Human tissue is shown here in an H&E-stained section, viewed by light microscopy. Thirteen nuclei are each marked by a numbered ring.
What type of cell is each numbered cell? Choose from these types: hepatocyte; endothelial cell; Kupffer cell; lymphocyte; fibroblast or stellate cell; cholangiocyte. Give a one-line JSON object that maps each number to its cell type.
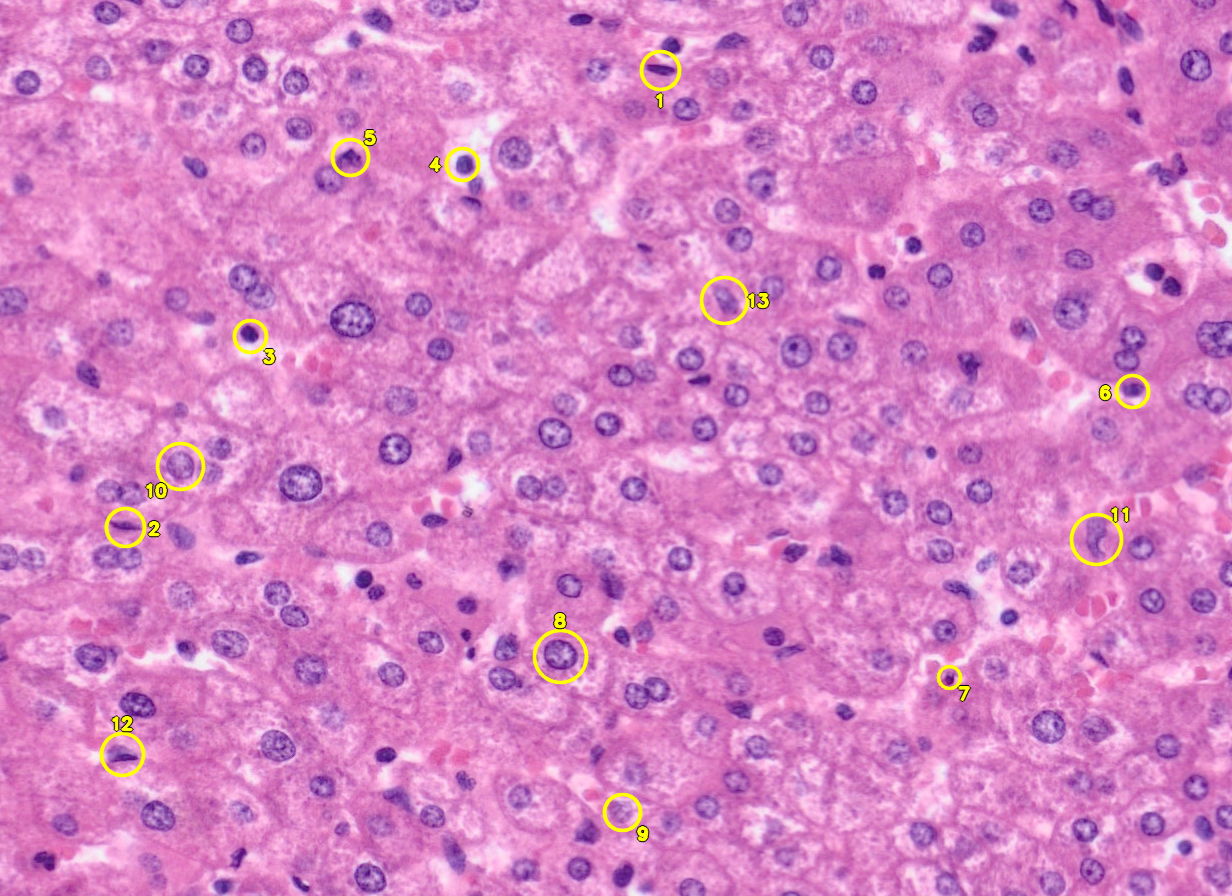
{"1": "fibroblast or stellate cell", "2": "fibroblast or stellate cell", "3": "lymphocyte", "4": "lymphocyte", "5": "endothelial cell", "6": "lymphocyte", "7": "lymphocyte", "8": "hepatocyte", "9": "hepatocyte", "10": "hepatocyte", "11": "Kupffer cell", "12": "endothelial cell", "13": "Kupffer cell"}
